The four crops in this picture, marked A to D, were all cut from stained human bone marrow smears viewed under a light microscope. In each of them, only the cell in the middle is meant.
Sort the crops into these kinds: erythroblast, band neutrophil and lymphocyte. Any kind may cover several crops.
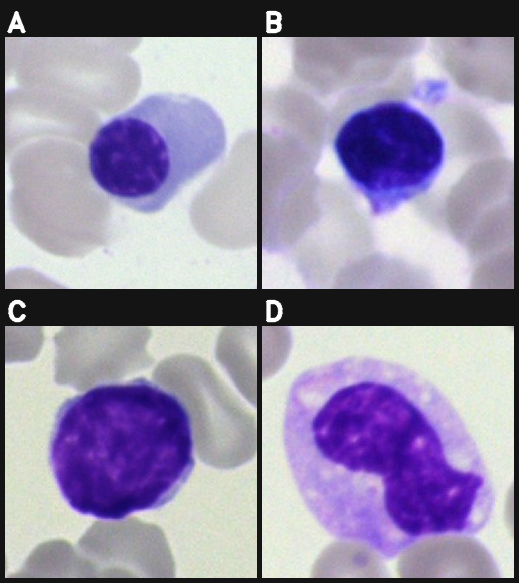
A: erythroblast
B: lymphocyte
C: lymphocyte
D: band neutrophil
